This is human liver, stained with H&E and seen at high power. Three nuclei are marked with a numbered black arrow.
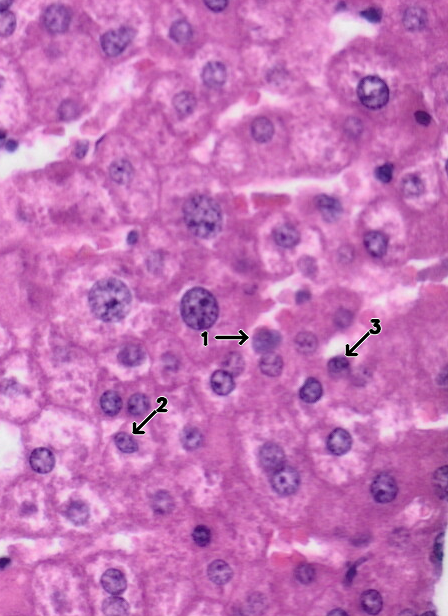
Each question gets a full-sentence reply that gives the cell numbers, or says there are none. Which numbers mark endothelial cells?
Within the set of numbered cells, only number 1 is an endothelial cell.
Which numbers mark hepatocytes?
With the exception of cell 2, no marked cell is a hepatocyte.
